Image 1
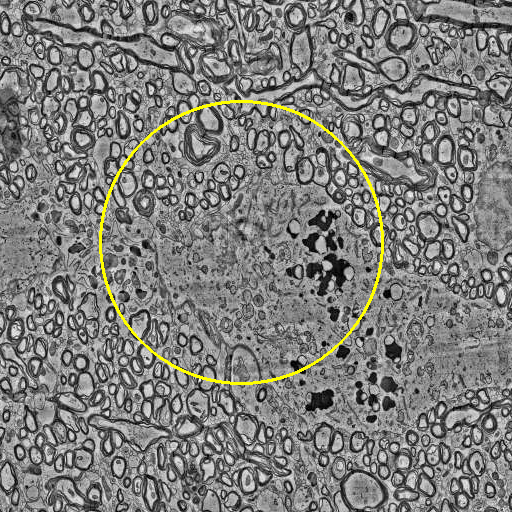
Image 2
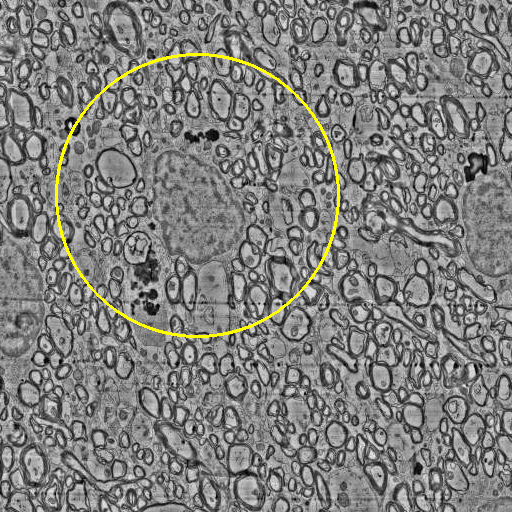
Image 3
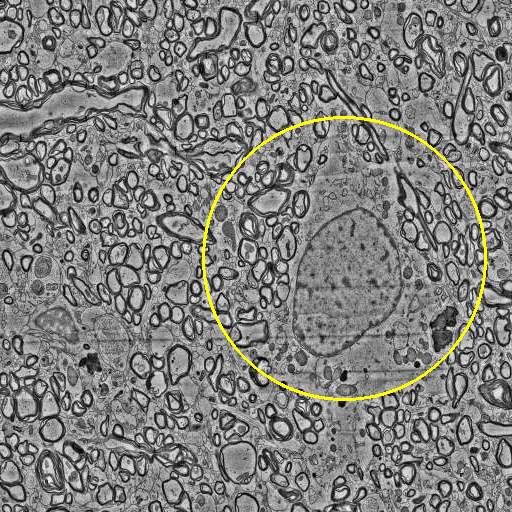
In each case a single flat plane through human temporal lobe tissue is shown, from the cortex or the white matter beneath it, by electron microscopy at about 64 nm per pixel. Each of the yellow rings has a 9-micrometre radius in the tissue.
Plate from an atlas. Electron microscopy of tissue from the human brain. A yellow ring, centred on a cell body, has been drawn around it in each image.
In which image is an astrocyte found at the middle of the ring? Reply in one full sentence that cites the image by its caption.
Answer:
The requested cell is the one at the ring's centre in Image 3.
